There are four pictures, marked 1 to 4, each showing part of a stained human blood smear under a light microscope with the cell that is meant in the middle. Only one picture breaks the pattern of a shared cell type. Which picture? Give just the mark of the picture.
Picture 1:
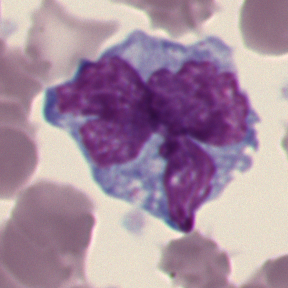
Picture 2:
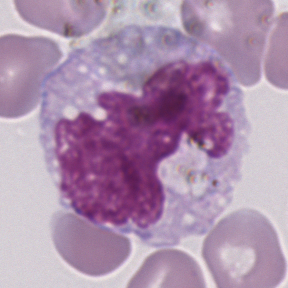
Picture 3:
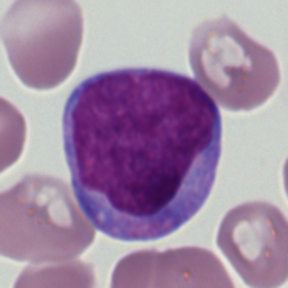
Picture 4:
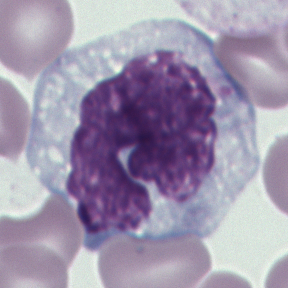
3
